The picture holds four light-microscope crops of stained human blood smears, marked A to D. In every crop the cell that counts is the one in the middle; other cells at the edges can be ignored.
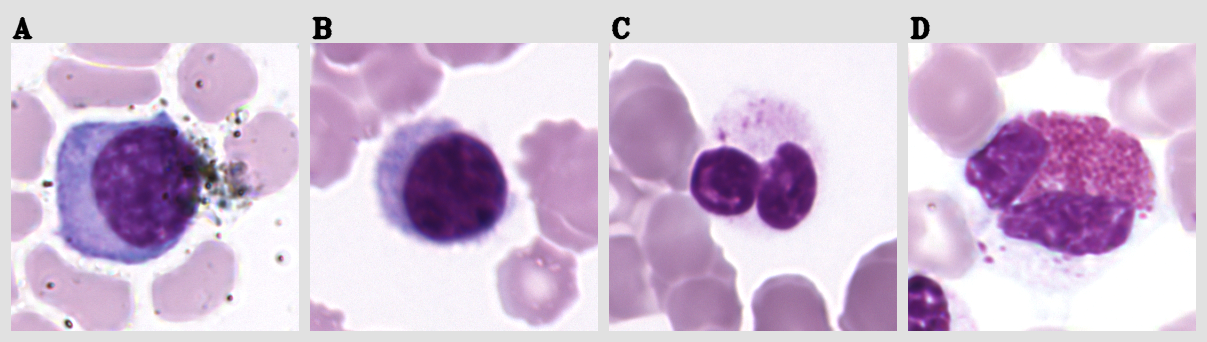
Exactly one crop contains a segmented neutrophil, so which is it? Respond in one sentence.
Crop C matches the request, showing a segmented neutrophil.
